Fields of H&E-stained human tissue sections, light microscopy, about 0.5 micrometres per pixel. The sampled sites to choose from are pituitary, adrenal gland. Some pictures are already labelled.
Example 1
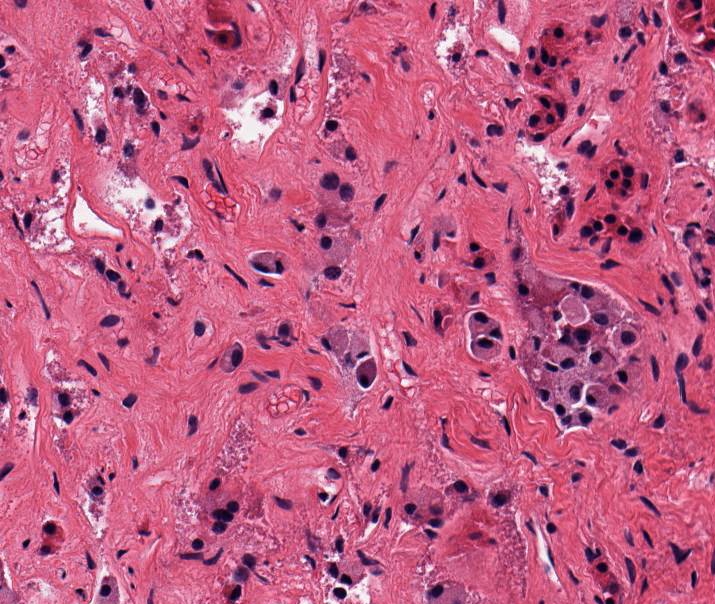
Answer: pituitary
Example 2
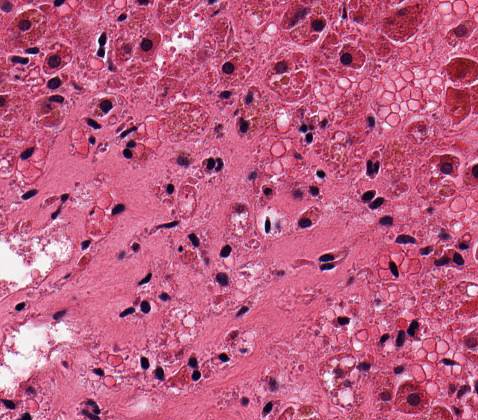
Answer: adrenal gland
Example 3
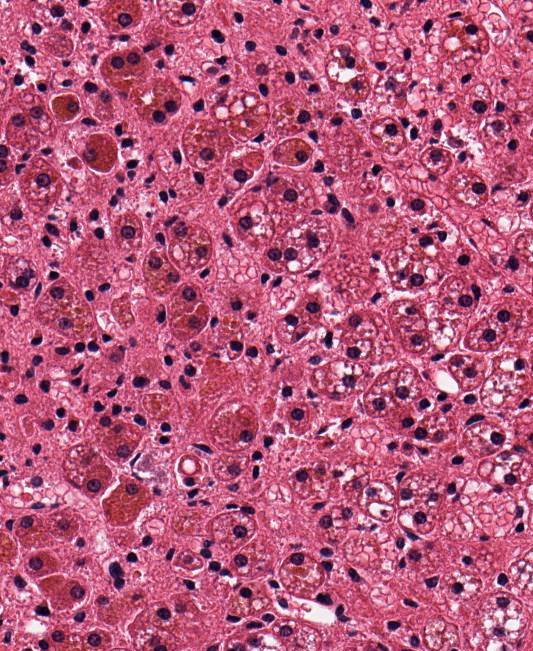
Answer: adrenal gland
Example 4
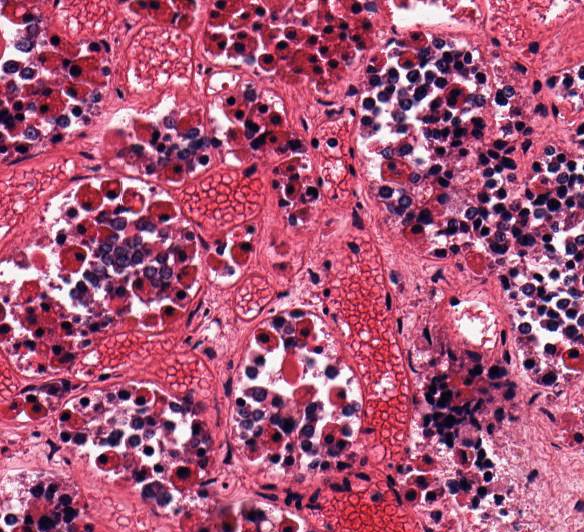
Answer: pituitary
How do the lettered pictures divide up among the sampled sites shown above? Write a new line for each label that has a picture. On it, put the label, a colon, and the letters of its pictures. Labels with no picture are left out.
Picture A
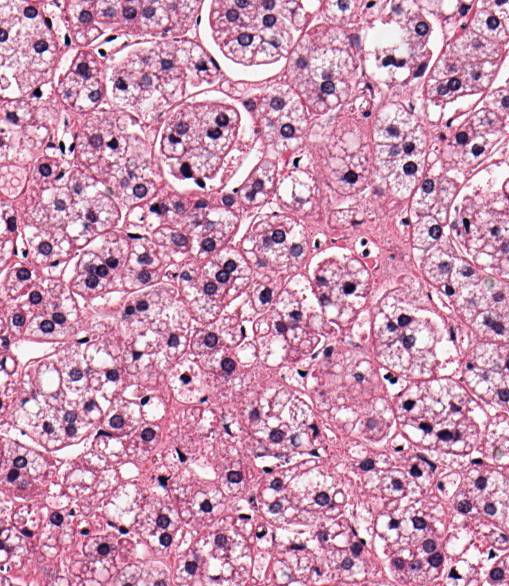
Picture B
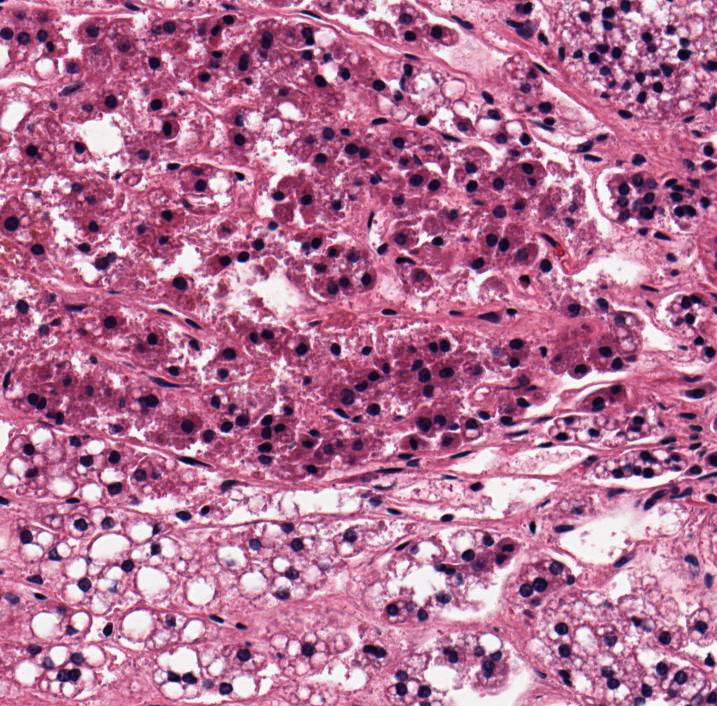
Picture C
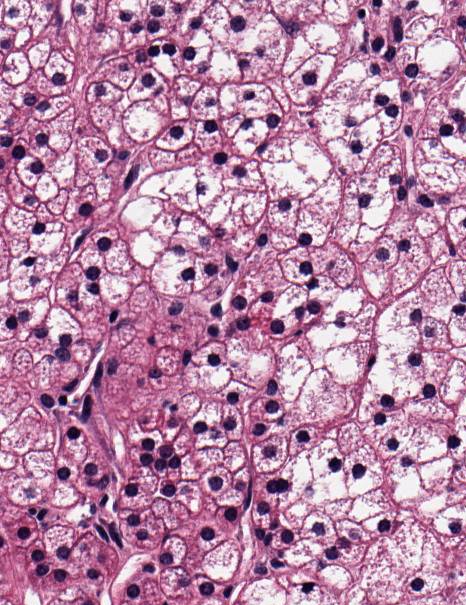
adrenal gland: A, B, C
